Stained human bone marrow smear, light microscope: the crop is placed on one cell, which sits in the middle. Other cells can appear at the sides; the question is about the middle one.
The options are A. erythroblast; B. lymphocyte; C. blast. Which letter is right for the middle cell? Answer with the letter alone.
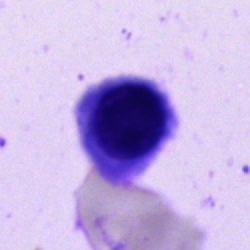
A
